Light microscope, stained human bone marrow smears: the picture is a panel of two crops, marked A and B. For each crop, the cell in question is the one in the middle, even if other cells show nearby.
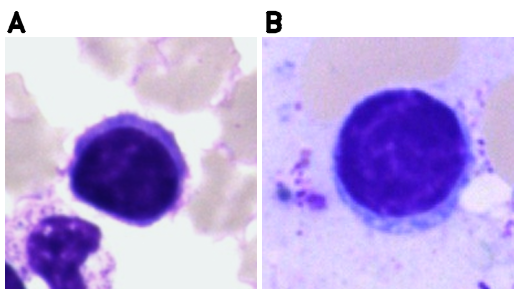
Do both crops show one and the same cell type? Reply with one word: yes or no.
yes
